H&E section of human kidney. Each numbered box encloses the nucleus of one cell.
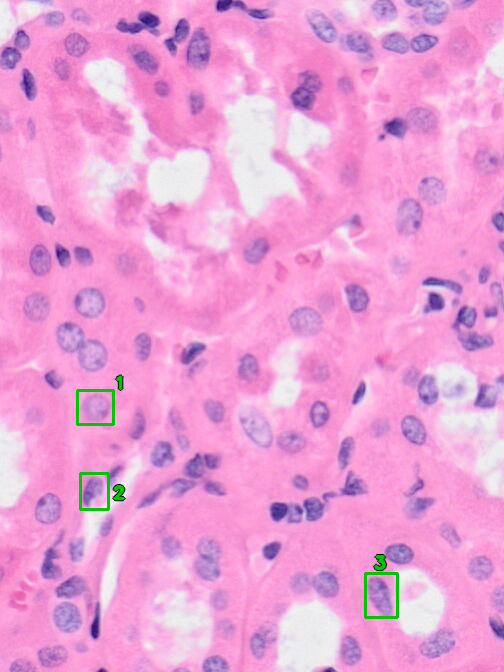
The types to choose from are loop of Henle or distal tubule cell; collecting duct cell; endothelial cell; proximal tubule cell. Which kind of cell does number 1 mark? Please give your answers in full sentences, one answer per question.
That cell with number 1 is a proximal tubule cell.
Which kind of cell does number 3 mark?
Cell number 3 in this section is a loop of Henle or distal tubule cell.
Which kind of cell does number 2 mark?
The cell numbered 2 has been identified as a collecting duct cell.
